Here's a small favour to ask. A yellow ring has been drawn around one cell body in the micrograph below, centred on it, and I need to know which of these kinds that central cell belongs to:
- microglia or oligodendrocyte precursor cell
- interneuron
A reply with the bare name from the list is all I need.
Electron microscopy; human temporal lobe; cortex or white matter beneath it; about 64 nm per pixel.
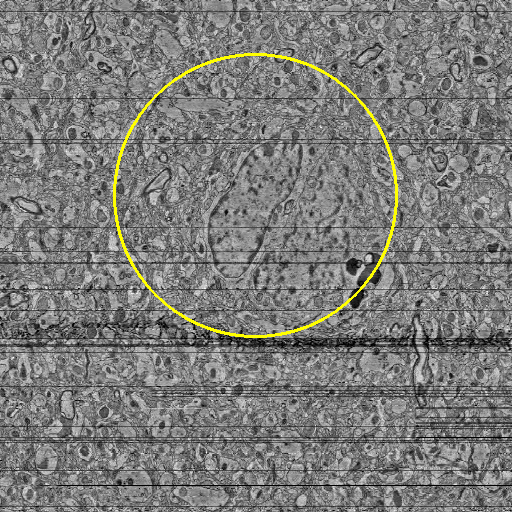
microglia or oligodendrocyte precursor cell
